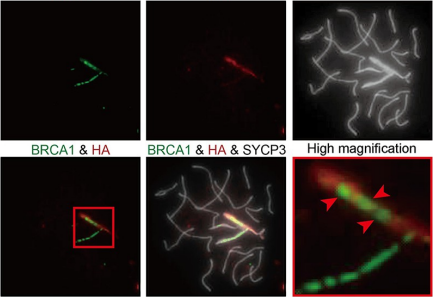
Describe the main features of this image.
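A spread nucleus of a spermatocyte shows many grey, thread-like chromosome axes. Green and red signals are restricted to one or two long axes, while the remaining axes carry neither. In the enlarged view, one axis shows green segments alternating with red stretches, the red lying in the parts without green.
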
